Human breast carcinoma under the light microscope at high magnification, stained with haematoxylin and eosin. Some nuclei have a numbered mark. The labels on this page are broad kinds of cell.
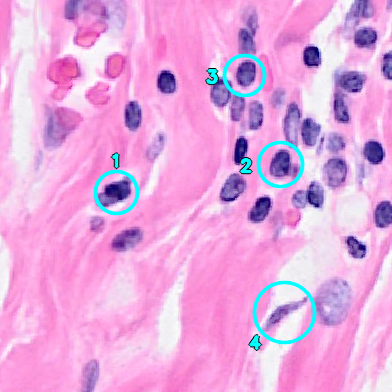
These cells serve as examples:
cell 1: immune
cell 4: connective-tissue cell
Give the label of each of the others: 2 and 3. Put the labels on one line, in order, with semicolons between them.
immune; immune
